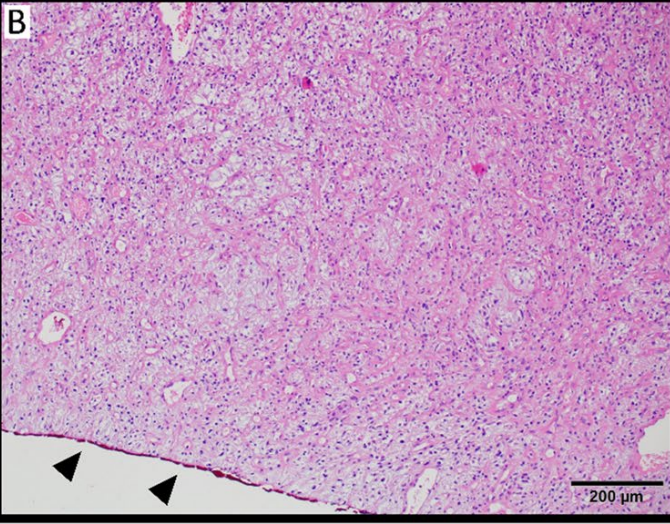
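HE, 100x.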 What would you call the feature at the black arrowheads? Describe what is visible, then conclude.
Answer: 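A thin dark red-brown line runs along the cut edge of the tissue. The arrowheads point at this line at the lower border.
Hence: ink-marking margins.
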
